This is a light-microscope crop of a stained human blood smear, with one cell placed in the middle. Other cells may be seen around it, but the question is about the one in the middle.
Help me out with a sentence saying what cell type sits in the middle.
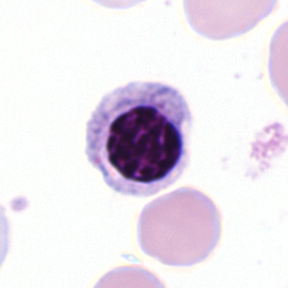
The cell in the exact centre of the crop is a normoblast.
